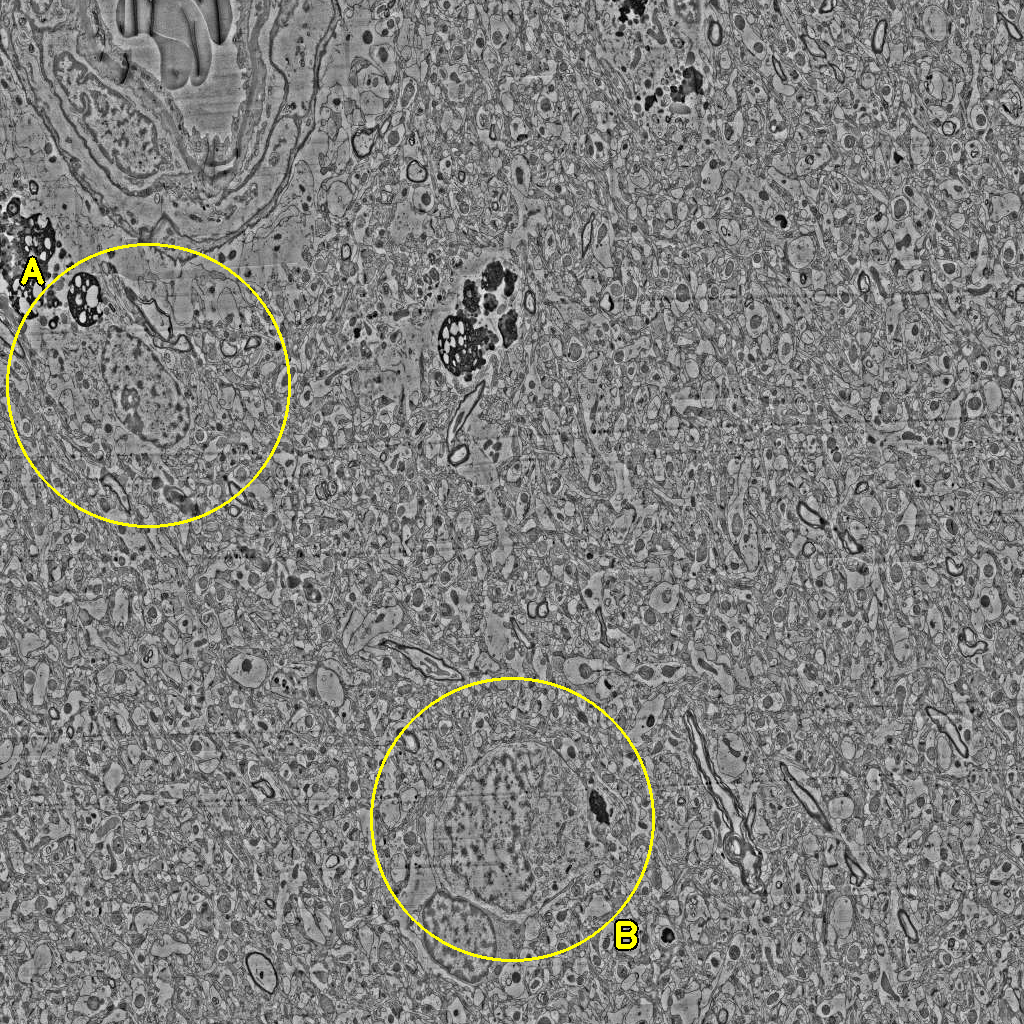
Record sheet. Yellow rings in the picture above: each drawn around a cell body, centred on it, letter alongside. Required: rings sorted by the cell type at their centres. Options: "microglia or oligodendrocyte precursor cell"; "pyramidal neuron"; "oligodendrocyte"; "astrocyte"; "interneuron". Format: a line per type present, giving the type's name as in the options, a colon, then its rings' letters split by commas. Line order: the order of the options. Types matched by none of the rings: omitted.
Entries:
astrocyte: A
interneuron: B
